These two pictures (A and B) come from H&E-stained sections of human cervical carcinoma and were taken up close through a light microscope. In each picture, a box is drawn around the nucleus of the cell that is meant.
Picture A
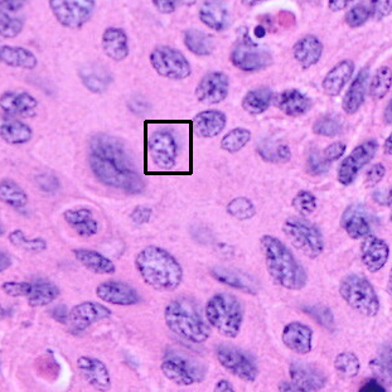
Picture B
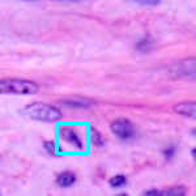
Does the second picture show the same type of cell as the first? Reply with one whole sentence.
No, the types are not the same, since picture A shows a squamous carcinoma cell and picture B a smooth muscle cell.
